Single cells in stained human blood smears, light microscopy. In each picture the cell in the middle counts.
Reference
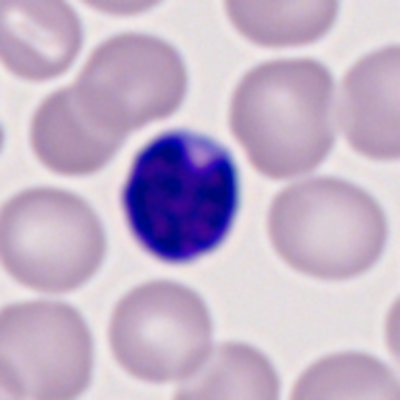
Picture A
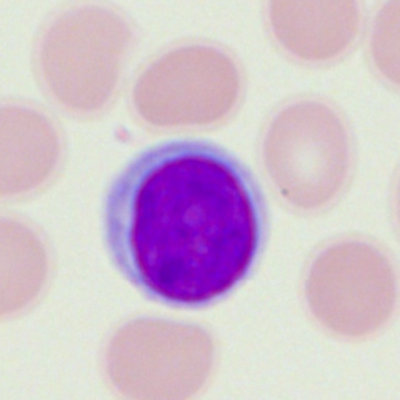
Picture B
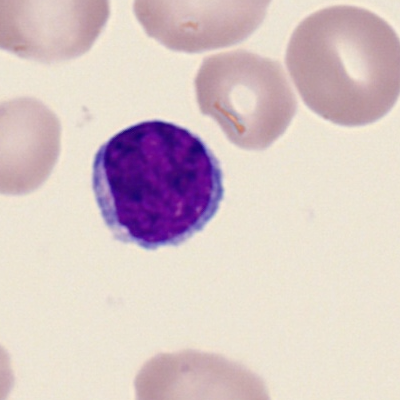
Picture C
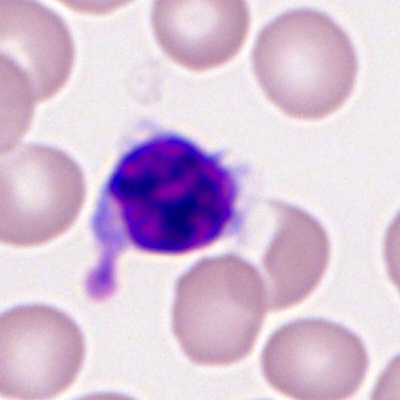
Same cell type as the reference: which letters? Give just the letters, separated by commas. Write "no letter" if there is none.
A, B, C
